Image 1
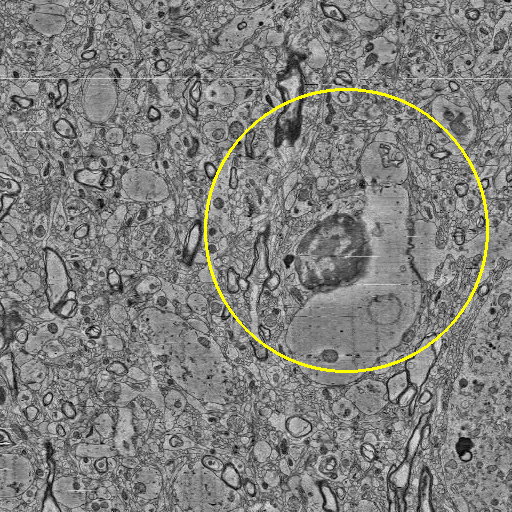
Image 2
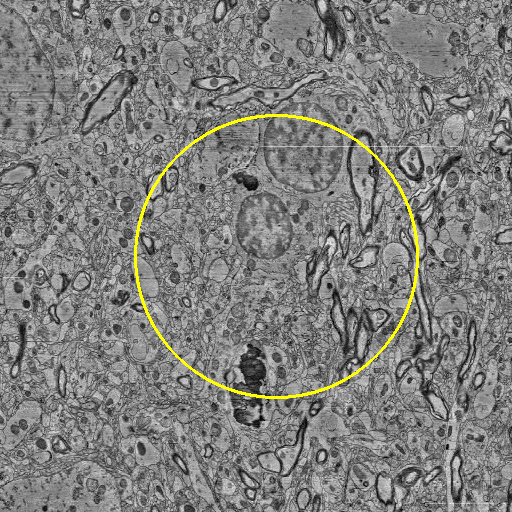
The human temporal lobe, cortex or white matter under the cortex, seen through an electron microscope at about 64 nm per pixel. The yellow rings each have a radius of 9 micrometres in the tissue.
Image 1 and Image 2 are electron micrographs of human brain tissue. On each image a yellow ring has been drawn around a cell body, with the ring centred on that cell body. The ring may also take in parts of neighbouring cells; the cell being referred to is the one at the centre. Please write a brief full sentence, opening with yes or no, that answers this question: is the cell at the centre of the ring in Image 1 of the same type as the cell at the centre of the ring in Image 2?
No, the two cells are of two types.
